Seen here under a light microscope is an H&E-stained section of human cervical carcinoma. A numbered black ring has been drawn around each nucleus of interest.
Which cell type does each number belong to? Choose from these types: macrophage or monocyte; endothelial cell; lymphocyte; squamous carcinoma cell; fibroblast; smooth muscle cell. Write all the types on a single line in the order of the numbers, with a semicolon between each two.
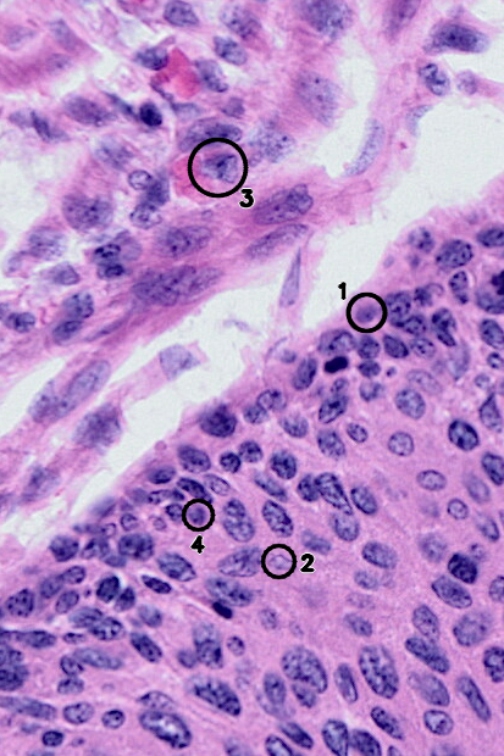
squamous carcinoma cell; squamous carcinoma cell; endothelial cell; squamous carcinoma cell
